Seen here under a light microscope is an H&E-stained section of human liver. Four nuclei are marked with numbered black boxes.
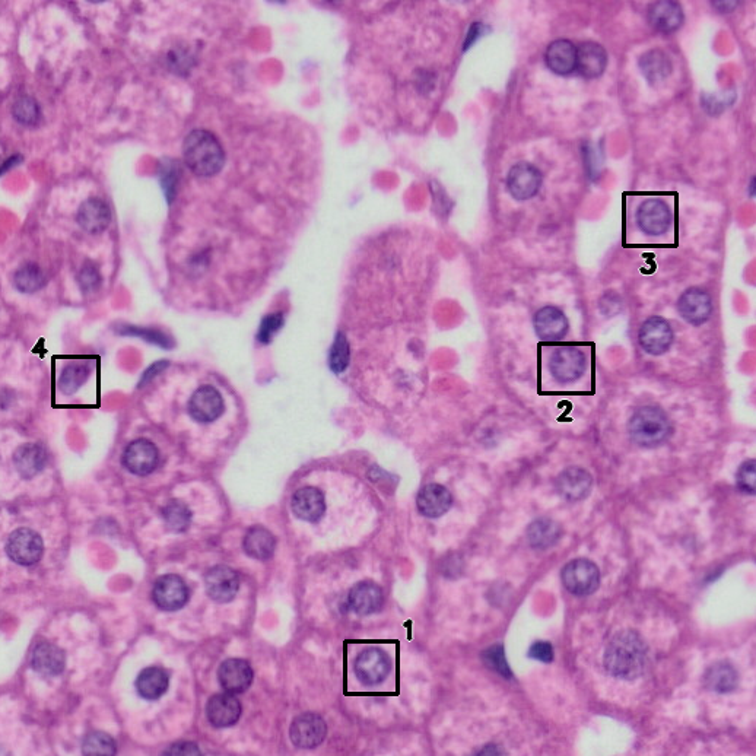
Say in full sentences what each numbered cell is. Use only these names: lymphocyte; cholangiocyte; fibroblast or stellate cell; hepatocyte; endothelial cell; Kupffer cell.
Cells 1, 2 and 3 are hepatocytes. Cell 4 is a Kupffer cell.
